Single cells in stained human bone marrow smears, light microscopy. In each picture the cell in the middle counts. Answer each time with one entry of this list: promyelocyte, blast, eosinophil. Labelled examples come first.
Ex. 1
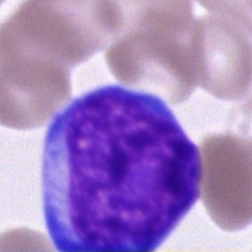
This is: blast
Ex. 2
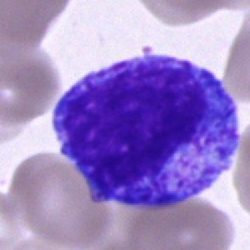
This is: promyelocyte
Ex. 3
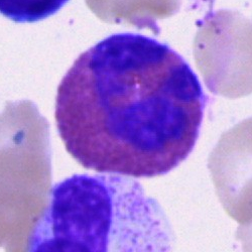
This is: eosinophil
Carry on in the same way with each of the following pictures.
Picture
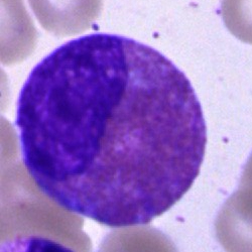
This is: eosinophil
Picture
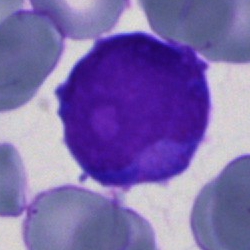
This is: blast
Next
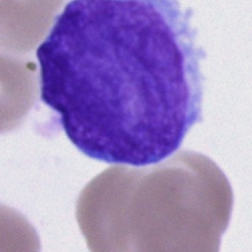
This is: blast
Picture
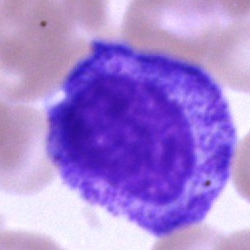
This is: promyelocyte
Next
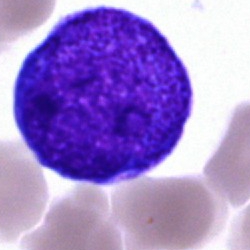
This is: promyelocyte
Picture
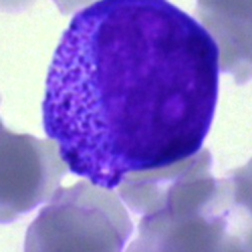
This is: promyelocyte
